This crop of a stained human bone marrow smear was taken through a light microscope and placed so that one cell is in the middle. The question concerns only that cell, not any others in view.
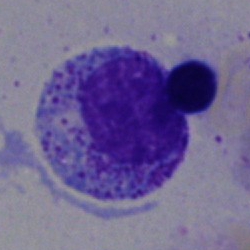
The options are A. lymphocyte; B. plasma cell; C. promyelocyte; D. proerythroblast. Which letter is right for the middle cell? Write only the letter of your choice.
C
